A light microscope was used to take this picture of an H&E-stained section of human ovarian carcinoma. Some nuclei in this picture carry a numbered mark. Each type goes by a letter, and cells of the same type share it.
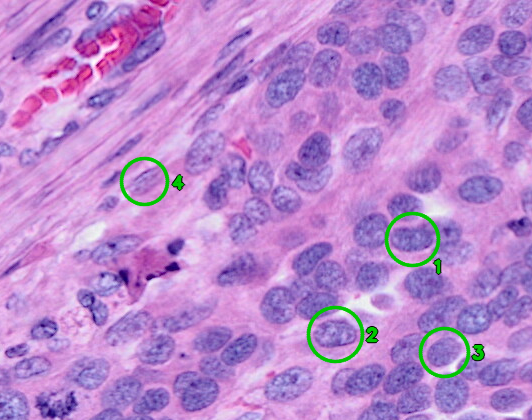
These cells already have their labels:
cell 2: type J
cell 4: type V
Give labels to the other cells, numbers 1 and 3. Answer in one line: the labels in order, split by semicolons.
type J; type J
